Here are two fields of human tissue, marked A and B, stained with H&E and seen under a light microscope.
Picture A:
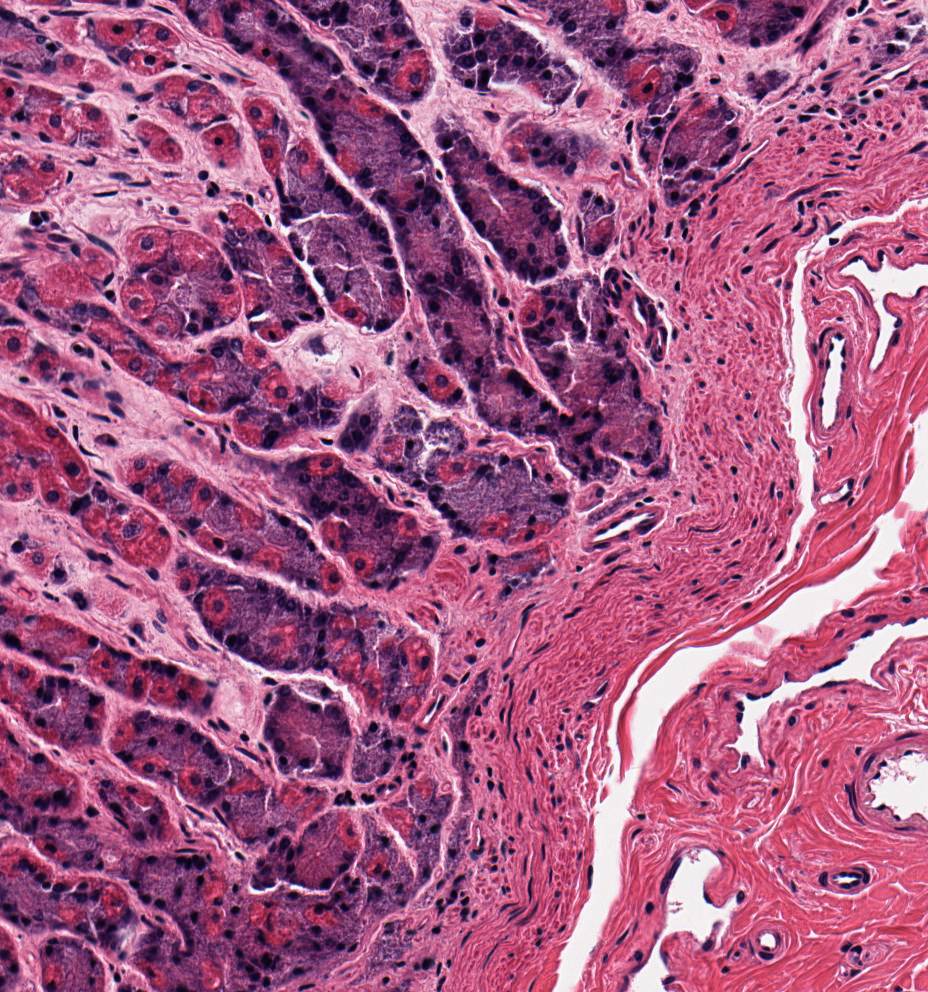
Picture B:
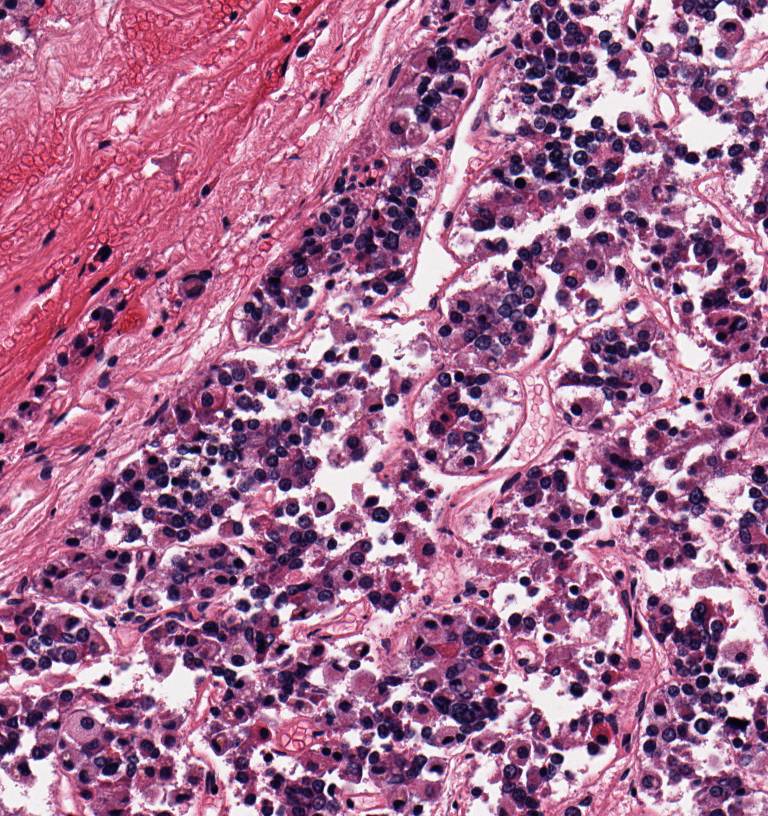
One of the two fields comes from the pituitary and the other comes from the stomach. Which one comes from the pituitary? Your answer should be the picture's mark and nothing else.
B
